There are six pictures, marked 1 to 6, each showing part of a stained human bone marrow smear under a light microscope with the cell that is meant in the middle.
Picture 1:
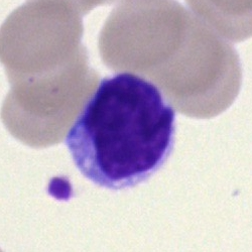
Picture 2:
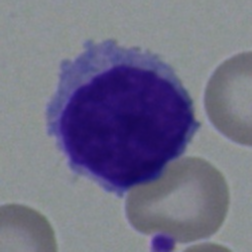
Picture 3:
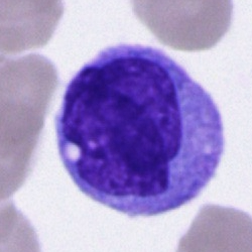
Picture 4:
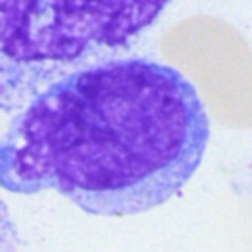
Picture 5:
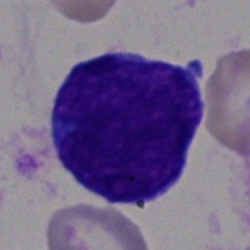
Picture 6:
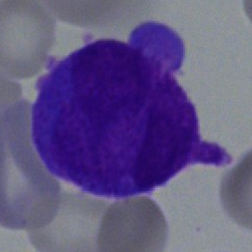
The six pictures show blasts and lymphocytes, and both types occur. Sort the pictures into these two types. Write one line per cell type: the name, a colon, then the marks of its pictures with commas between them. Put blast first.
blast: 3, 4, 5, 6
lymphocyte: 1, 2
